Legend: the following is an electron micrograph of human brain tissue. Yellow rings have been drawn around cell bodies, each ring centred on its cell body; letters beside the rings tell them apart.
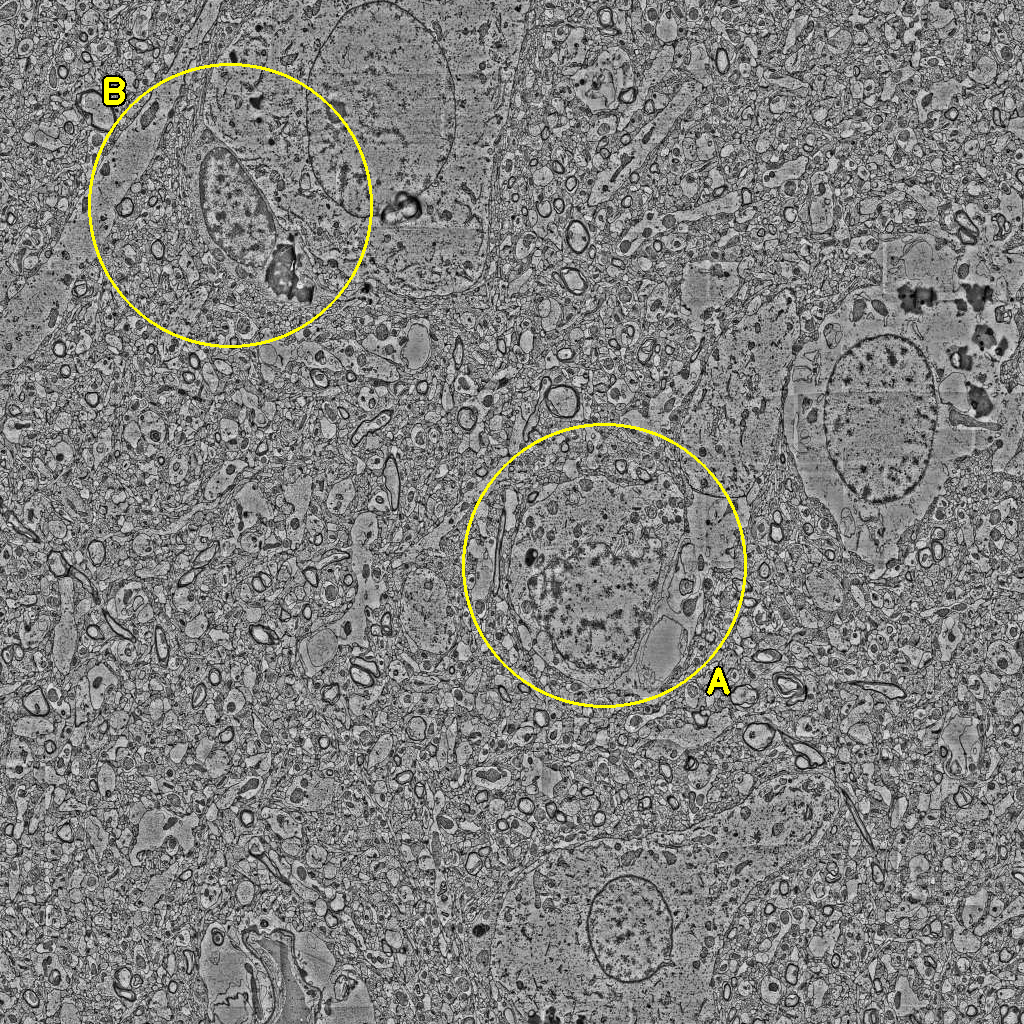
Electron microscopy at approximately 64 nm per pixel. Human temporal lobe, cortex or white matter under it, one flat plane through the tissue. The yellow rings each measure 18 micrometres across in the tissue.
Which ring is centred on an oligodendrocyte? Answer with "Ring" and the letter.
Ring B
